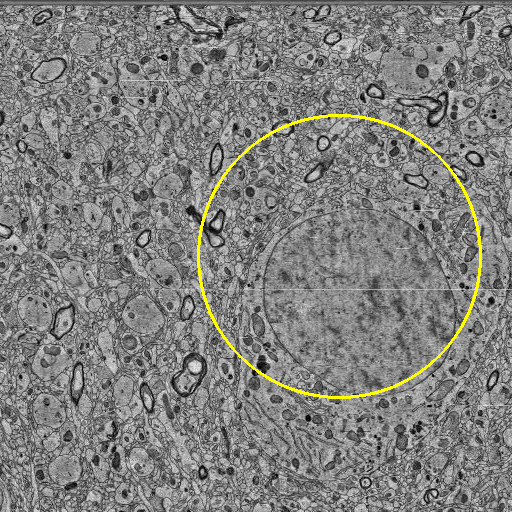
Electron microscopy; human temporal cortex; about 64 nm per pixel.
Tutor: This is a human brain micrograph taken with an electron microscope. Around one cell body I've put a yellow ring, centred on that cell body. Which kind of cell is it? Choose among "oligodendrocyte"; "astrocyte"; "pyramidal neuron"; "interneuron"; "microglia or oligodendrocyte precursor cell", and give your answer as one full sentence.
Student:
Going by your list, the cell centred in the yellow ring is an interneuron.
